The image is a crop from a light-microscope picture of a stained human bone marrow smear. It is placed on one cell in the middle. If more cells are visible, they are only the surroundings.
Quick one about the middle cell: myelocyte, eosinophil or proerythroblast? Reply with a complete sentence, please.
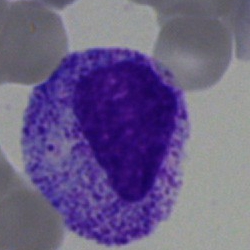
The middle position in this crop is taken by a myelocyte.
